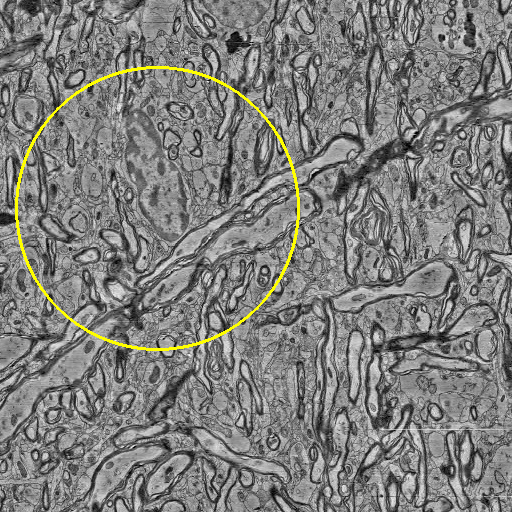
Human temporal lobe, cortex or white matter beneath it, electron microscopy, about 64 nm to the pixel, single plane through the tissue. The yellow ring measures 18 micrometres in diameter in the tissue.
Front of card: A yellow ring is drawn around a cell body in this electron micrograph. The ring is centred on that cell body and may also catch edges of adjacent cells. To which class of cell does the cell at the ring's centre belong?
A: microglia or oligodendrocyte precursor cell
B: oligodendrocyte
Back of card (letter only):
A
